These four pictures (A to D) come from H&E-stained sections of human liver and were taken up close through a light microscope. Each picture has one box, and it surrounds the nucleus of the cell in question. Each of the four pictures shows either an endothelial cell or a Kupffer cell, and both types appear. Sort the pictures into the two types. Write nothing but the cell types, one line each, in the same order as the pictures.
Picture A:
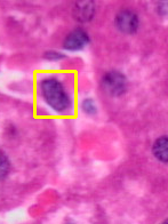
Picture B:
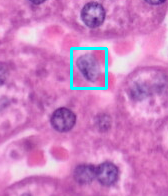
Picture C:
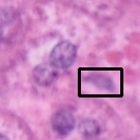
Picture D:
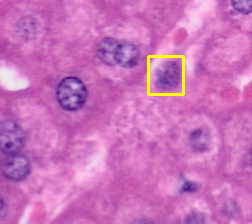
Kupffer cell
endothelial cell
Kupffer cell
Kupffer cell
